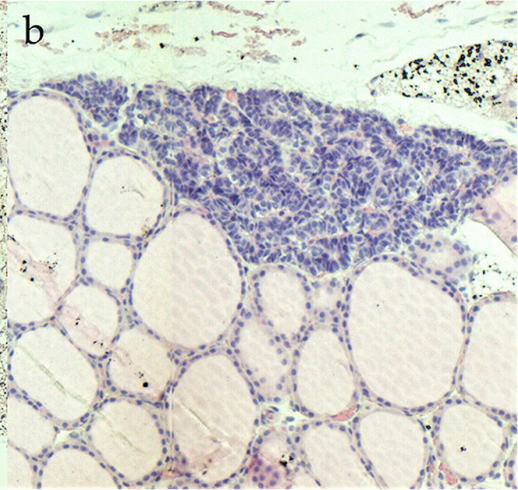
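In the upper part, a solid sheet of closely packed small cells with round, dark purple nuclei and scant pale cytoplasm forms cords and clusters, without any lumen or colloid. Below and beside it lie round follicles filled with pale pink homogeneous colloid, each lined by a single layer of flattened to cuboidal cells with small nuclei. The dense cellular sheet is the parathyroid gland, set directly against the thyroid follicles.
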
